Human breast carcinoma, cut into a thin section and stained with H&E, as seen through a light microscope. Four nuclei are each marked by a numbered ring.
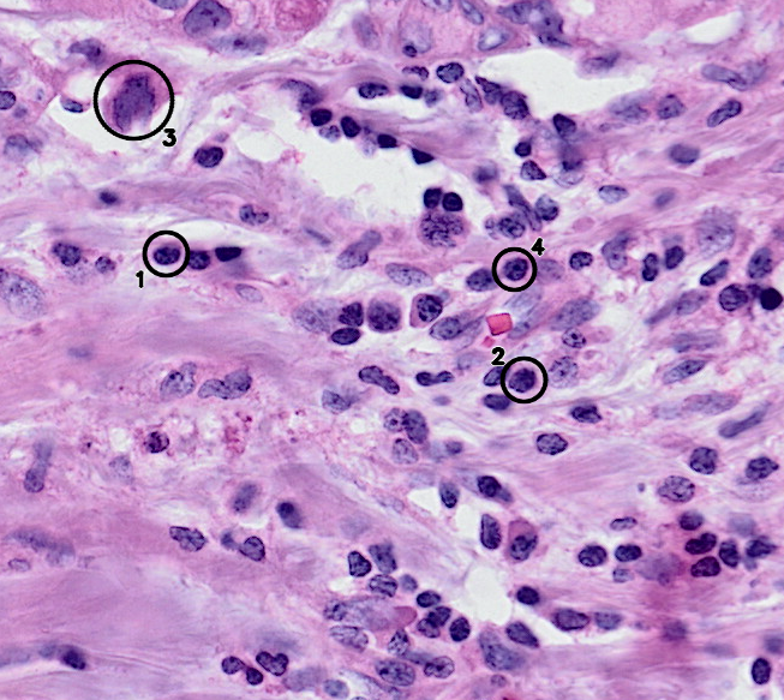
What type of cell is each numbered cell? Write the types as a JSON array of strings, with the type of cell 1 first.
["lymphocyte", "lymphocyte", "carcinoma cell", "lymphocyte"]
